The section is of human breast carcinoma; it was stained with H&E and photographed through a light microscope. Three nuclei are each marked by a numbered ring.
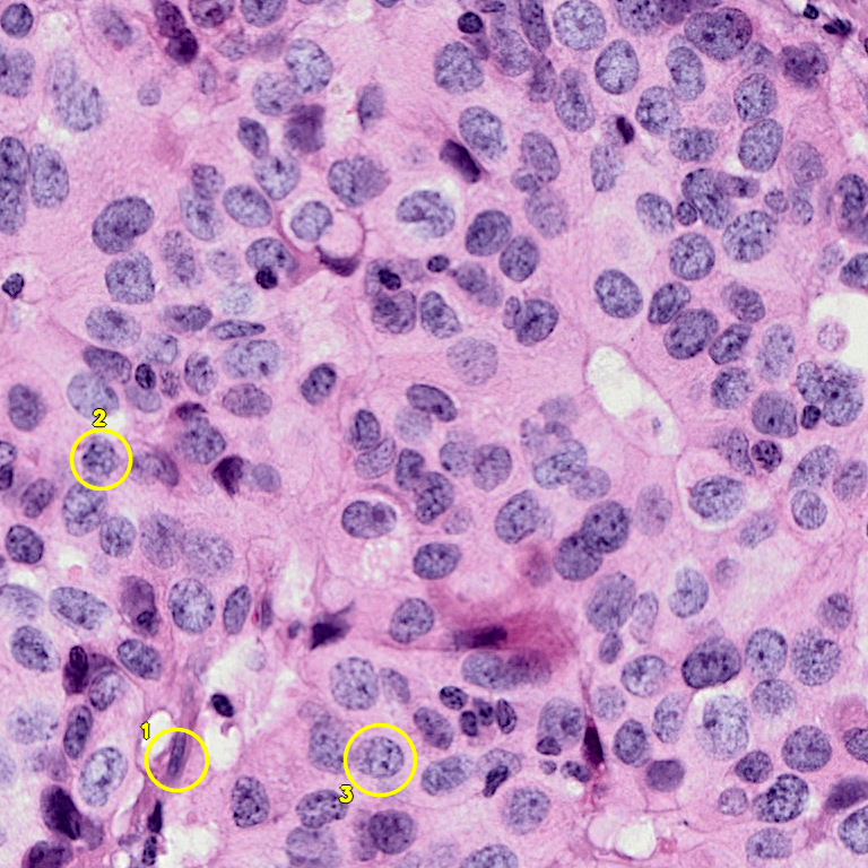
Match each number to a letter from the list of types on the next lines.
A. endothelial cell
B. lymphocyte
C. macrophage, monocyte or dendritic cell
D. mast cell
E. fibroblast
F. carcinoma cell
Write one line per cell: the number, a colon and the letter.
1: A
2: F
3: F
